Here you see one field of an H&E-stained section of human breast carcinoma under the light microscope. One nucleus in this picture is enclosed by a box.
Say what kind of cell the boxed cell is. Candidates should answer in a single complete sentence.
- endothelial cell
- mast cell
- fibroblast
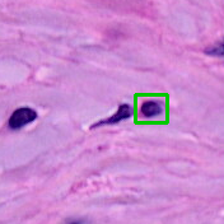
Microscopically, the boxed cell is categorized as a mast cell.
